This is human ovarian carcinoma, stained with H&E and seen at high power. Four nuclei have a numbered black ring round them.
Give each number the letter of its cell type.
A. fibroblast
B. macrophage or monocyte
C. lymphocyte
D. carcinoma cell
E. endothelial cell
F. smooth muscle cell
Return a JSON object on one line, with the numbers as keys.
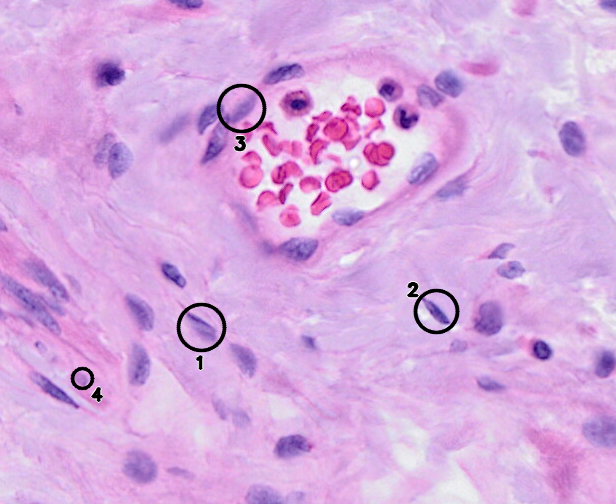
{"1": "A", "2": "A", "3": "E", "4": "F"}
